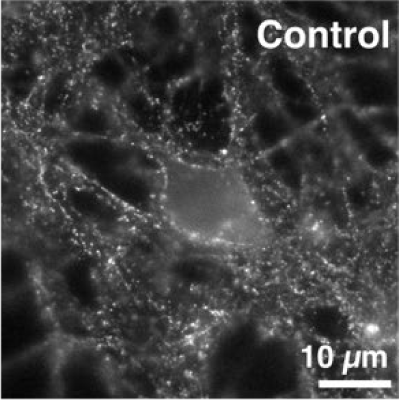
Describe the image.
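Cultured neurons form a dense meshwork of interlacing processes around a dimly fluorescent cell body in the centre. Fine bright puncta line the processes and outline the cell bodies, while the cell body interior shows only a diffuse haze.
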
